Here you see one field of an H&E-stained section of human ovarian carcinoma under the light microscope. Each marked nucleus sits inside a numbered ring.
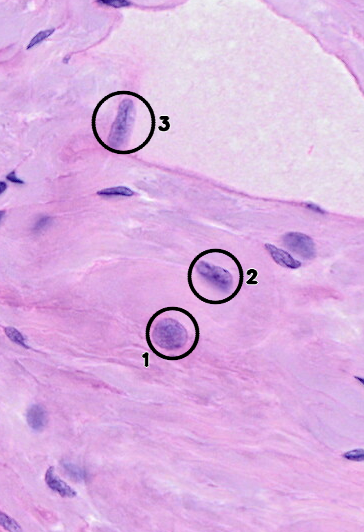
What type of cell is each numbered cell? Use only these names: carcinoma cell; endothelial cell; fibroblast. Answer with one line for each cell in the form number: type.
1: fibroblast
2: fibroblast
3: endothelial cell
